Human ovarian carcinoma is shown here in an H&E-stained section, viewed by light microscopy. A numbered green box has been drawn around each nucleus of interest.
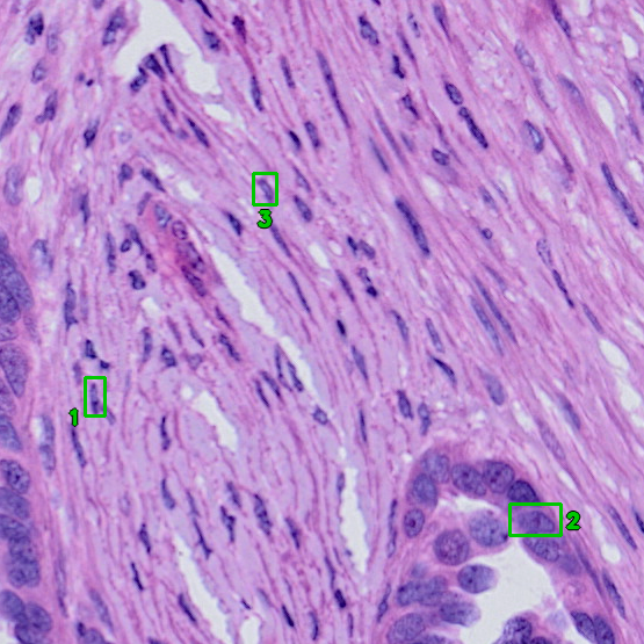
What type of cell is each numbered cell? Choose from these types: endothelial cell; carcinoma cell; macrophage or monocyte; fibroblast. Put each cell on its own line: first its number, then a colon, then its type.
1: fibroblast
2: carcinoma cell
3: fibroblast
